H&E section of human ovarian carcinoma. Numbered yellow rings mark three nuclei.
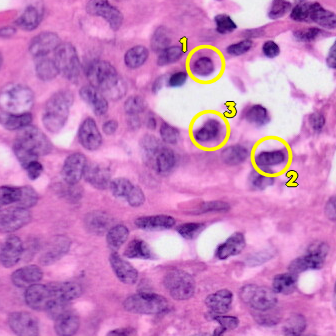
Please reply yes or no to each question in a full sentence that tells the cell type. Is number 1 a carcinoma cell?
No, number 1 is assigned to a macrophage or monocyte, not to a carcinoma cell.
